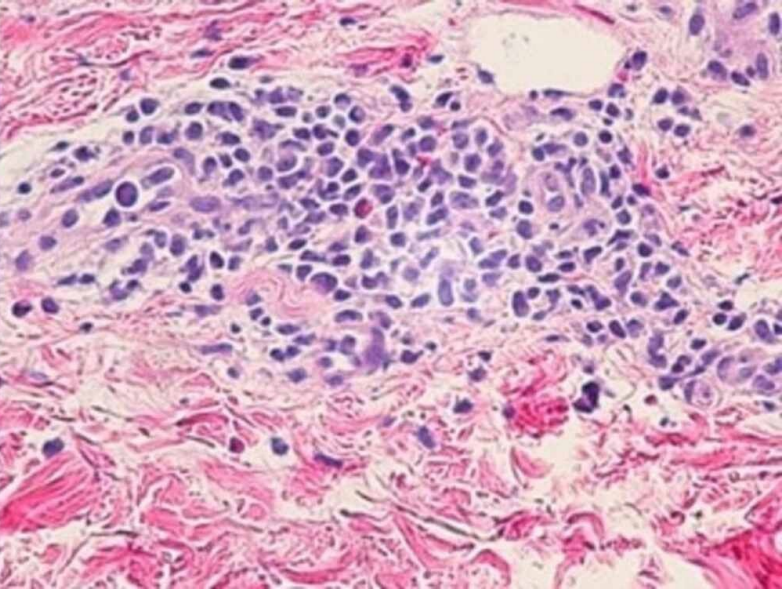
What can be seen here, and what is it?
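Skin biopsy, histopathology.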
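High-power view of a dermal inflammatory infiltrate made up of lymphocytes with scattered eosinophils. Most cells have round to oval, dark purple nuclei and scant cytoplasm, and they are packed closely together. Occasional cells have pink-red cytoplasm. The infiltrate sits next to a small vessel, surrounded by loosely arranged pink collagen fibres.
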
